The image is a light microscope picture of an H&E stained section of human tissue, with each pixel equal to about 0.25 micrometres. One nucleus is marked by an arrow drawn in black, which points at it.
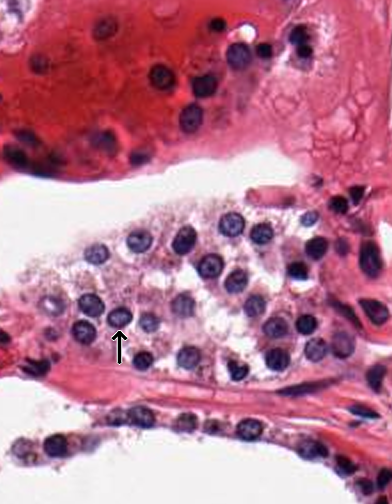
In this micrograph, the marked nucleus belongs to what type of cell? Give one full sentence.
The marked nucleus belongs, in this picture, to a thyroid follicular cell.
